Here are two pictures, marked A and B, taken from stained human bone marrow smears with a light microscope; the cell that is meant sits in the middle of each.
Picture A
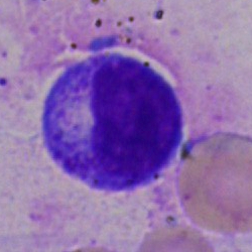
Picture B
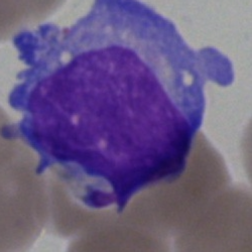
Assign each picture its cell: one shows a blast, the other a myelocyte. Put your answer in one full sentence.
Picture A is of a myelocyte, and picture B is of a blast.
